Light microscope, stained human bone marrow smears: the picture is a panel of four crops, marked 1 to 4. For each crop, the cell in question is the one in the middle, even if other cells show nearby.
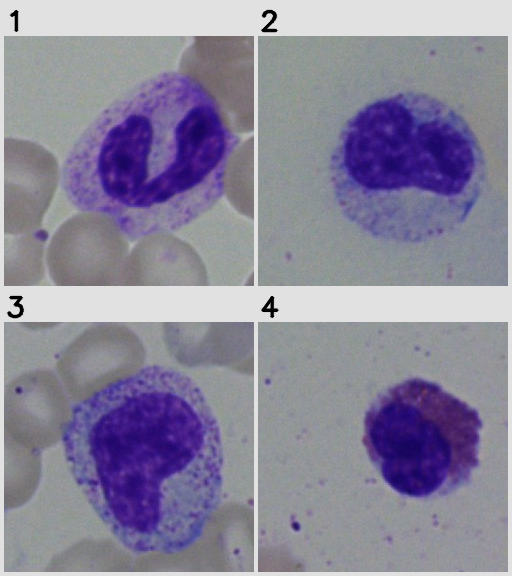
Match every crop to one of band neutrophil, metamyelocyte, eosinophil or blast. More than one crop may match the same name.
1: band neutrophil
2: metamyelocyte
3: metamyelocyte
4: eosinophil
